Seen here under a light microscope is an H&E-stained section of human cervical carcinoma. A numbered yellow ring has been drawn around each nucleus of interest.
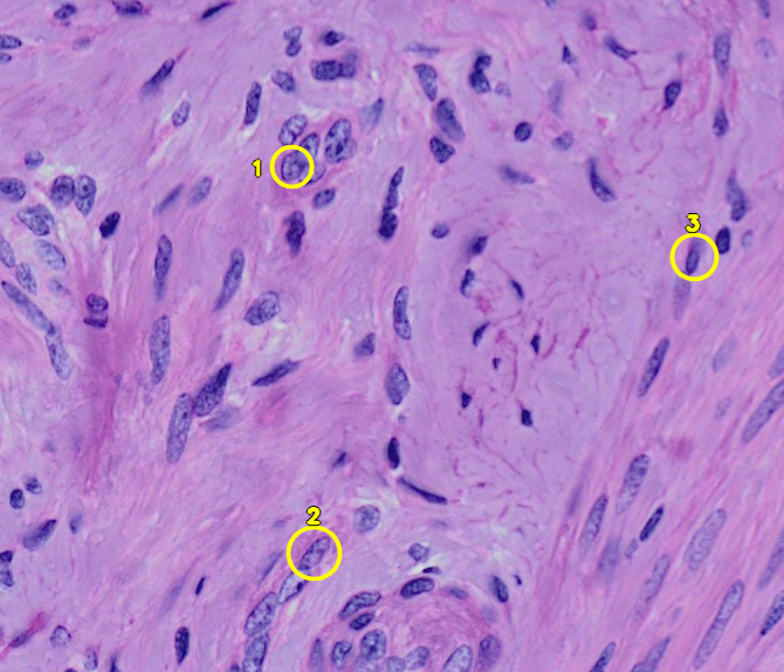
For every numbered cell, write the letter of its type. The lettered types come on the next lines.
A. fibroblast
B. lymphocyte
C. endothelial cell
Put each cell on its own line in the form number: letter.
1: C
2: C
3: A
